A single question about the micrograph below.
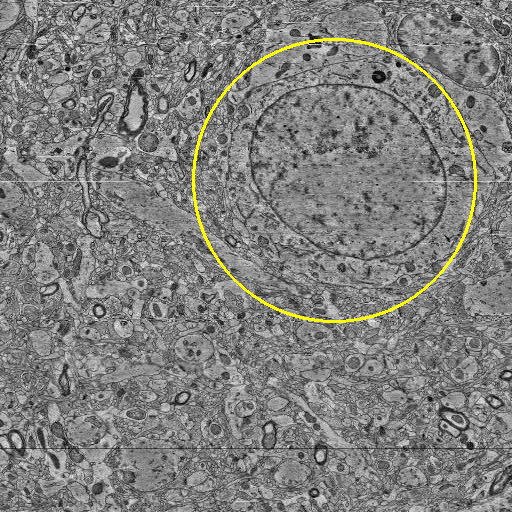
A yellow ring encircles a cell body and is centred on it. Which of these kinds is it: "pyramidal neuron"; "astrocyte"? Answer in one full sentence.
The cell body at the centre of the yellow ring belongs to a pyramidal neuron.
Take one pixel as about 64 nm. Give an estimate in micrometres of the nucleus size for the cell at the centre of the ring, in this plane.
In this plane, the nucleus is roughly 13 by 11 micrometres.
